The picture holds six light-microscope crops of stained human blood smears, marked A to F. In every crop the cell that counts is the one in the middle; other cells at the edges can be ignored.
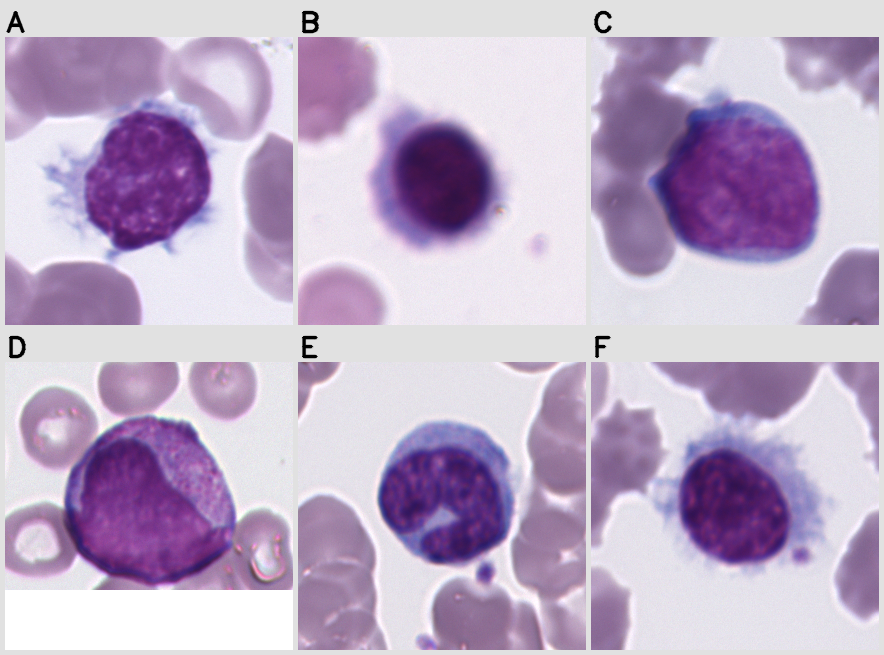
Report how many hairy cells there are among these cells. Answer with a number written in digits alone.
3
